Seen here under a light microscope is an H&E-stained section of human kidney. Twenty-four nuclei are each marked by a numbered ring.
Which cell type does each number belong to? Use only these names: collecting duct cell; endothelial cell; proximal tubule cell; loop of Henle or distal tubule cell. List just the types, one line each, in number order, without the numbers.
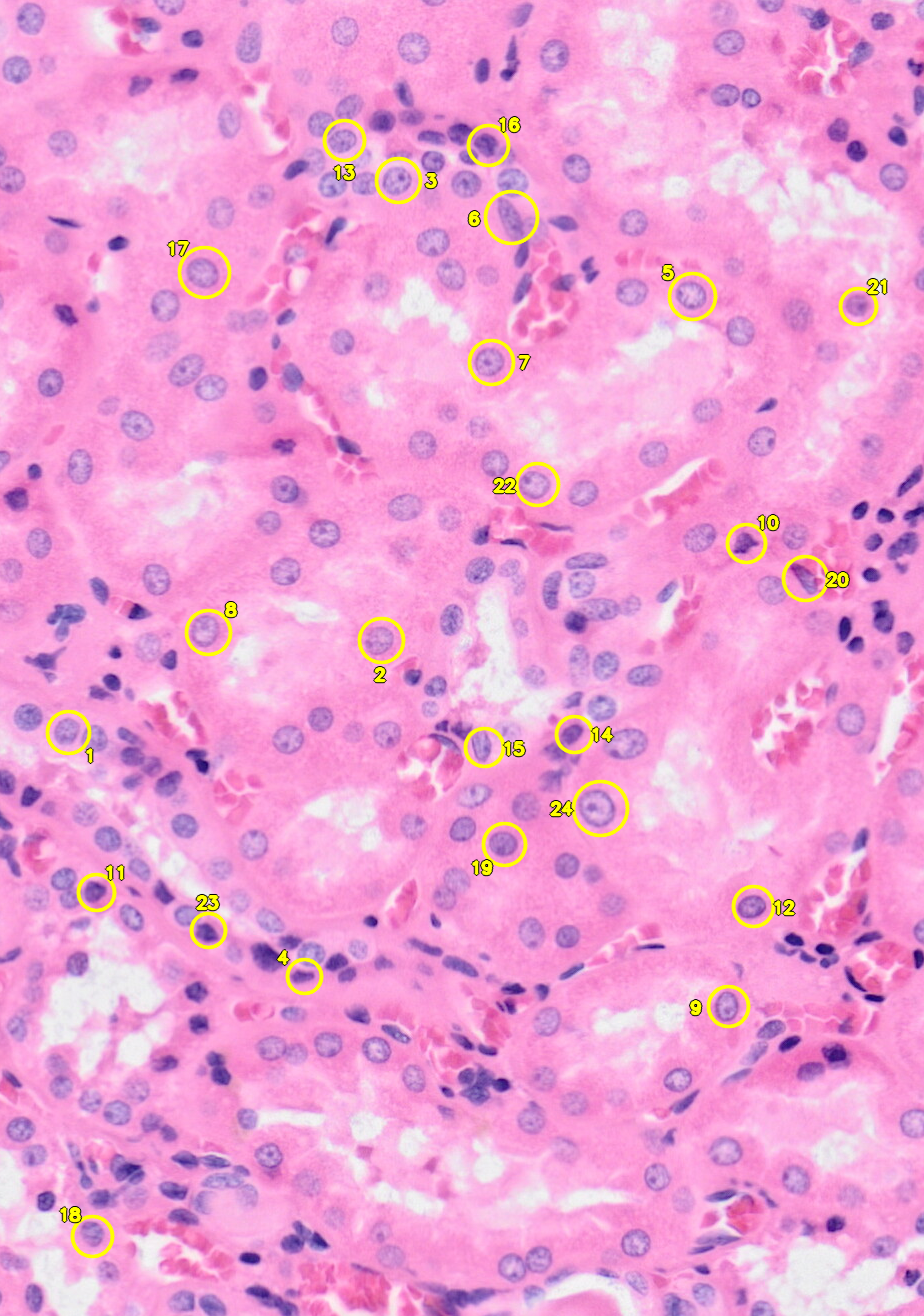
collecting duct cell
proximal tubule cell
collecting duct cell
collecting duct cell
proximal tubule cell
collecting duct cell
proximal tubule cell
proximal tubule cell
proximal tubule cell
proximal tubule cell
loop of Henle or distal tubule cell
proximal tubule cell
collecting duct cell
collecting duct cell
collecting duct cell
collecting duct cell
proximal tubule cell
loop of Henle or distal tubule cell
proximal tubule cell
endothelial cell
proximal tubule cell
proximal tubule cell
collecting duct cell
proximal tubule cell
